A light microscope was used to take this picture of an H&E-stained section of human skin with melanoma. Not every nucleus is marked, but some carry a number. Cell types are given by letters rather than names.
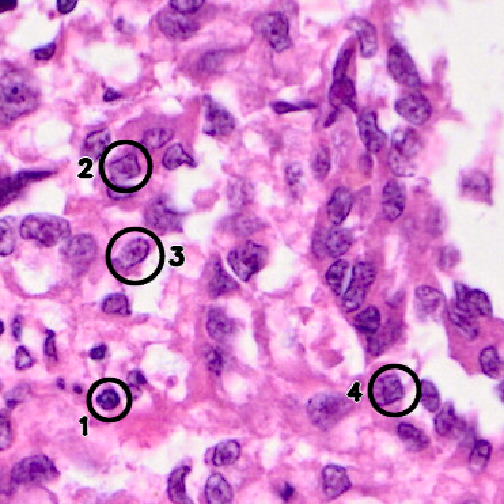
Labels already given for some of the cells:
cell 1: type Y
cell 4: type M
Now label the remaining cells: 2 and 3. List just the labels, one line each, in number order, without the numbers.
type M
type M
